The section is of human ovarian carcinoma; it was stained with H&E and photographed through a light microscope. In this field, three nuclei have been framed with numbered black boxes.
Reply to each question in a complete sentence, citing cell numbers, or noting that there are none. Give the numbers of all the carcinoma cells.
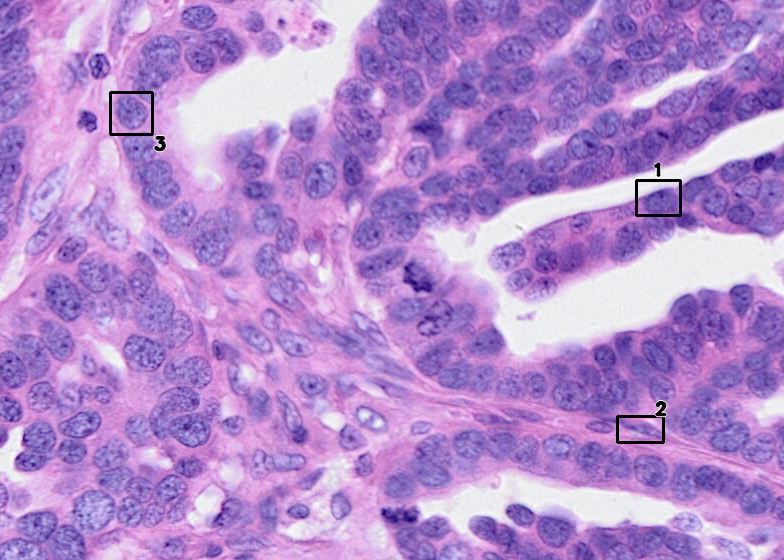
The cells identified by the numbers 1 and 3 are carcinoma cells.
